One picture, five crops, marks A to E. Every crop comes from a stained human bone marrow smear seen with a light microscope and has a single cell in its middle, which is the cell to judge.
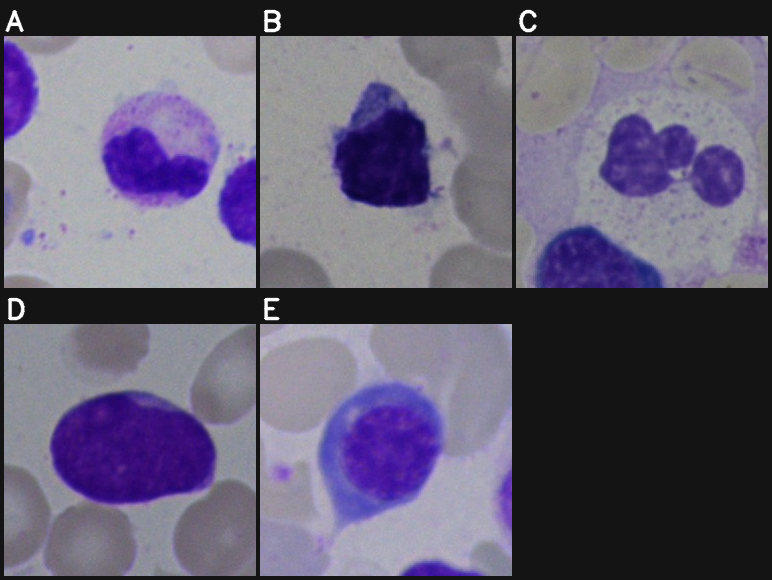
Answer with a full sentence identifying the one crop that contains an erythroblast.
The crop with an erythroblast at its center is crop E.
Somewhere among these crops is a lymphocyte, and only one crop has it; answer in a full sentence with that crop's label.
Among all the crops given here, the one with a lymphocyte is crop B.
